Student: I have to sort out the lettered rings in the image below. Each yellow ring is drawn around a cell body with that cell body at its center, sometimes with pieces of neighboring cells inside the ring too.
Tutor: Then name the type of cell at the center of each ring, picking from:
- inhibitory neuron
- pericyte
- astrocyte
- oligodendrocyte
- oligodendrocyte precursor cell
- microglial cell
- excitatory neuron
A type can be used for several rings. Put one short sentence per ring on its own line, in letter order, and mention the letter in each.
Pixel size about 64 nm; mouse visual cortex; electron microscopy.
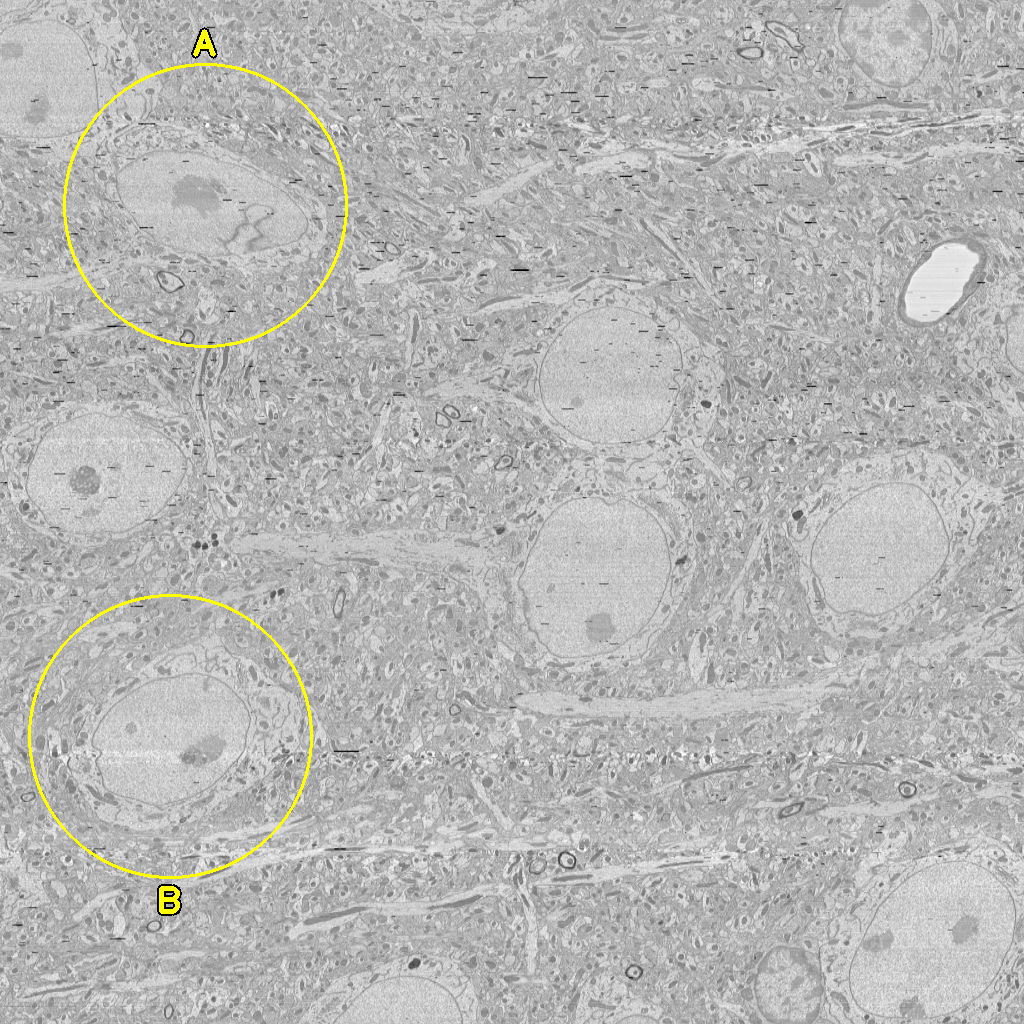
Inside ring A, at its center, is an inhibitory neuron.
Inside ring B, at its center, is an excitatory neuron.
